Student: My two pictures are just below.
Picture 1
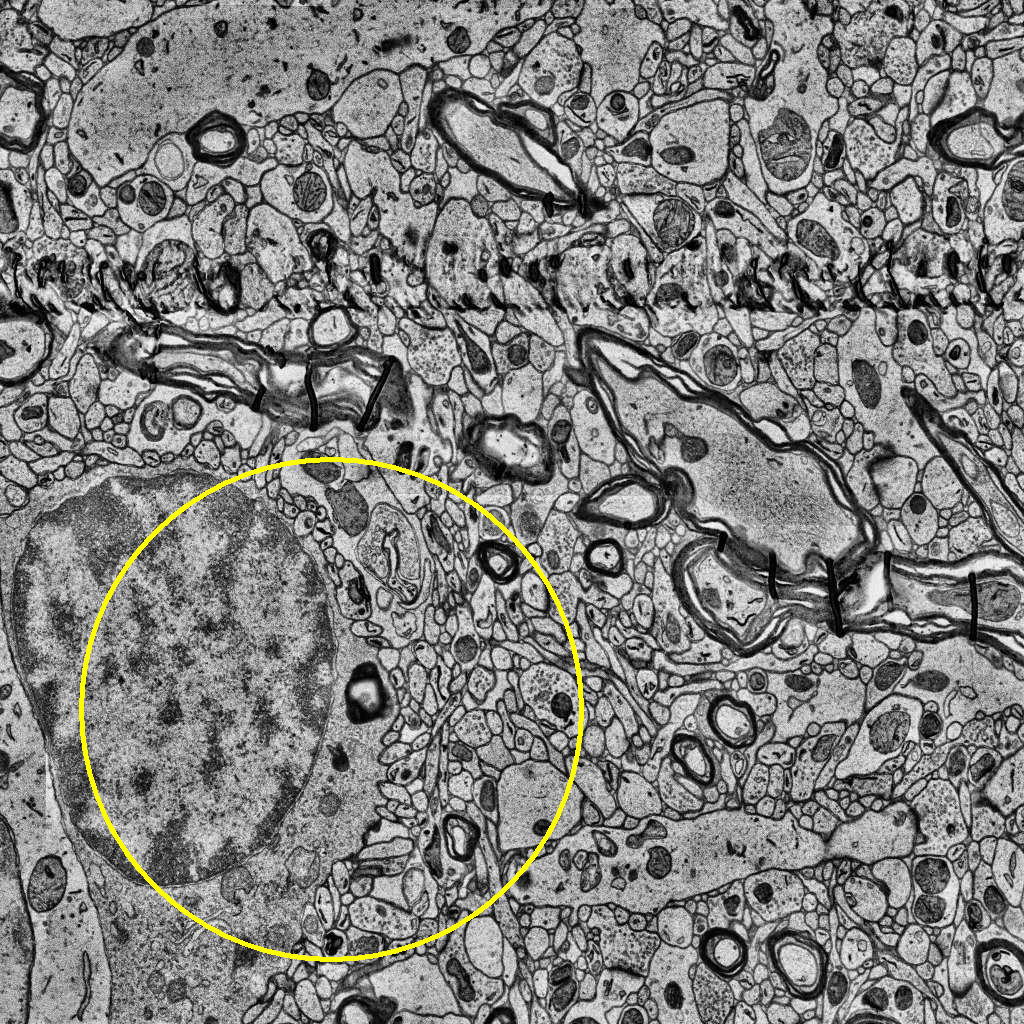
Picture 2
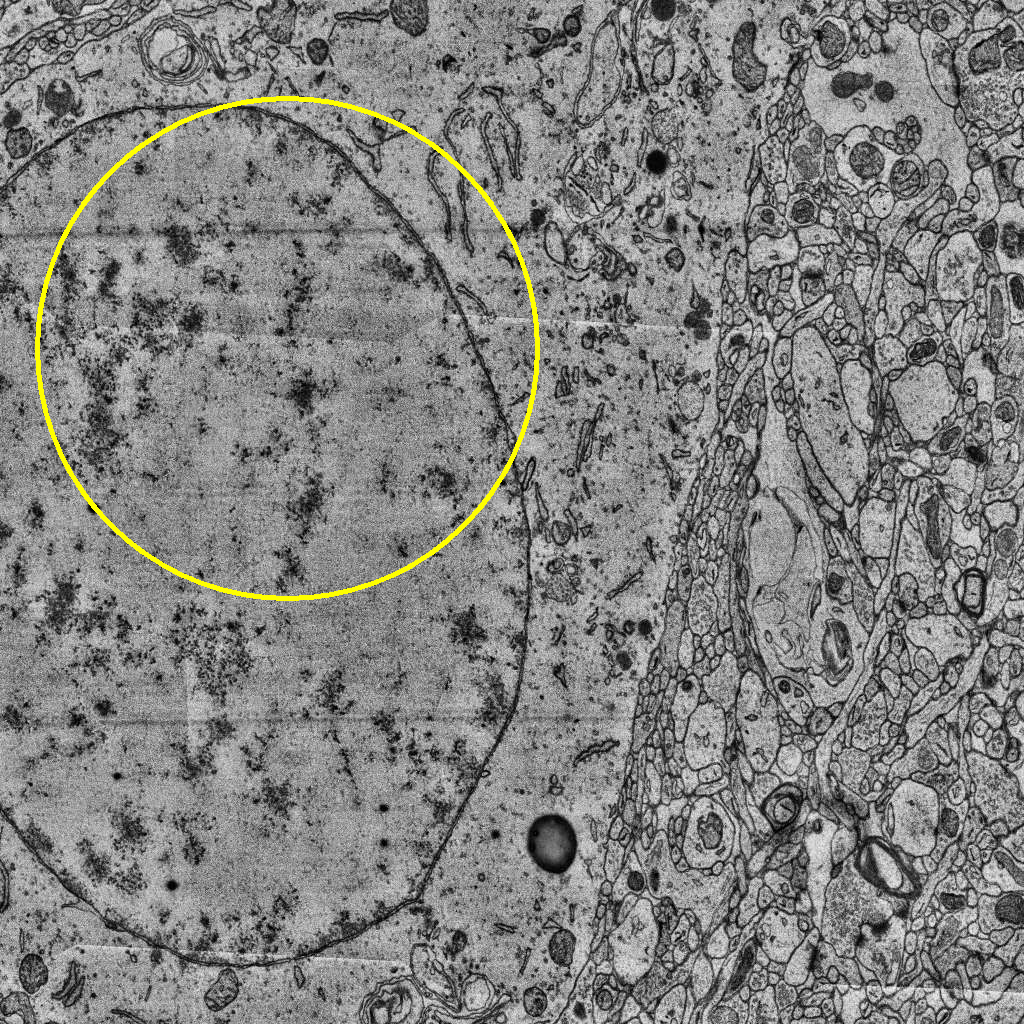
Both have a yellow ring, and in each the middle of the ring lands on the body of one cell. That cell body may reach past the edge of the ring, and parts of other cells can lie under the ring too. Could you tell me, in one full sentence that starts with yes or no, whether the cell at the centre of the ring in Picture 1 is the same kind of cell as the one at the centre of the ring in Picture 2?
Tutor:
No, the two cells are of two kinds.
